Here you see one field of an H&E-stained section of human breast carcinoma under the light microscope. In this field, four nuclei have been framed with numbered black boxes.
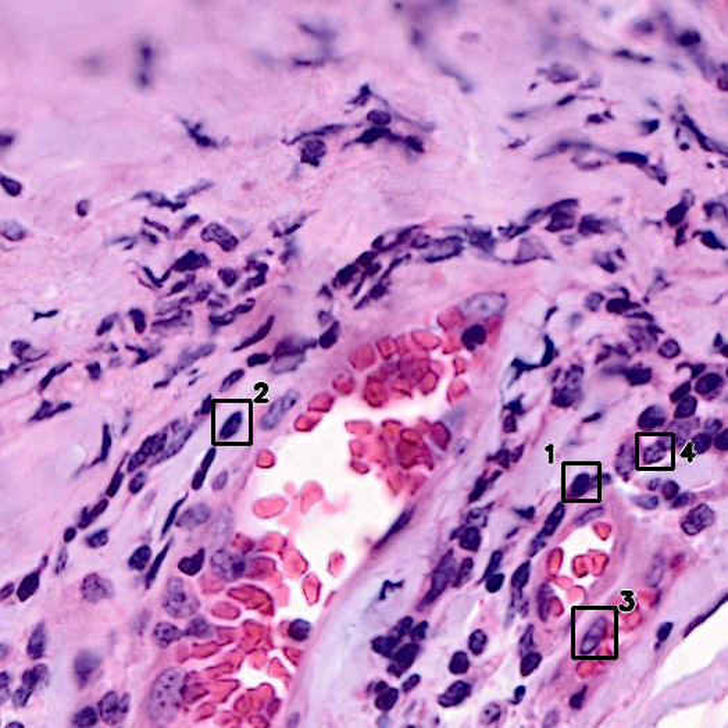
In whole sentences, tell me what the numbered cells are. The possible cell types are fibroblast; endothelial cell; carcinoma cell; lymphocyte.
Cell 1 is a lymphocyte, cell 2 is a lymphocyte, cell 3 is an endothelial cell and cell 4 is a lymphocyte.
